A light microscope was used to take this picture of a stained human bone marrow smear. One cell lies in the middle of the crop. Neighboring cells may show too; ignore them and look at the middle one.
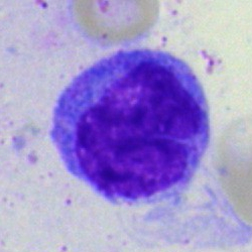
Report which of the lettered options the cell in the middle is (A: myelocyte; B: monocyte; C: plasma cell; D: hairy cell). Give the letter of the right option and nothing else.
B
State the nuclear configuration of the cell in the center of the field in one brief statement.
There is one compact nucleus, and its shape is round, oval or kidney-like.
